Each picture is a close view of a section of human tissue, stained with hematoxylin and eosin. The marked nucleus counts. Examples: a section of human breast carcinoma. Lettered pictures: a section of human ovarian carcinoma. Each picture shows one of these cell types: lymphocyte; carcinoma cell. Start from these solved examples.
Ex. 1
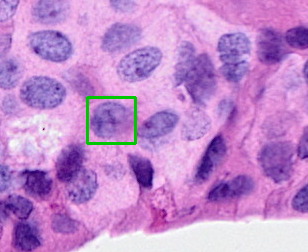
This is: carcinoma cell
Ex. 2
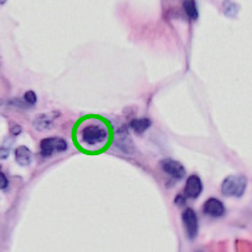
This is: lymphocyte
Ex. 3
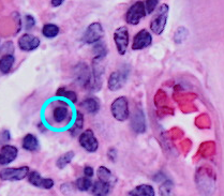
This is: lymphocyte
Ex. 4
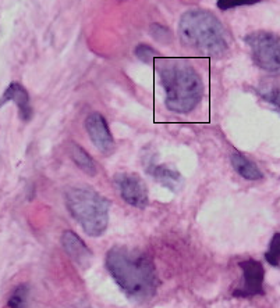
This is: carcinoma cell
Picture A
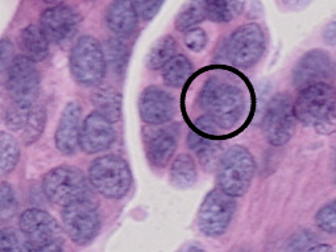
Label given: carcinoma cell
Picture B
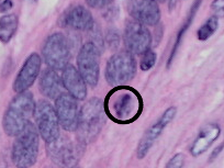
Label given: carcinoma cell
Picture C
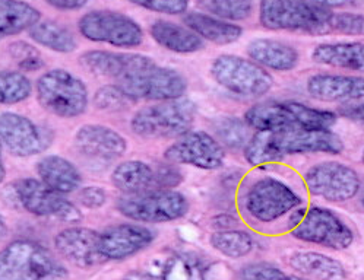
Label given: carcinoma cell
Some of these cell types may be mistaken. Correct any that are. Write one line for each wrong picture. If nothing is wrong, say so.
B: not carcinoma cell but lymphocyte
